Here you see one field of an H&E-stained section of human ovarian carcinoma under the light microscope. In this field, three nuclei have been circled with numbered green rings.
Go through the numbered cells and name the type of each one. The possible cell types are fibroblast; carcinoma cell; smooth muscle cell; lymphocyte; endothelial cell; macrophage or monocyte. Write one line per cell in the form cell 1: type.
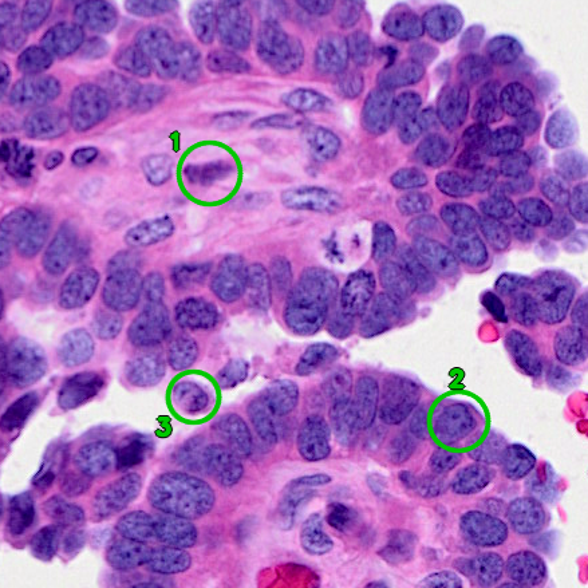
cell 1: fibroblast
cell 2: carcinoma cell
cell 3: macrophage or monocyte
